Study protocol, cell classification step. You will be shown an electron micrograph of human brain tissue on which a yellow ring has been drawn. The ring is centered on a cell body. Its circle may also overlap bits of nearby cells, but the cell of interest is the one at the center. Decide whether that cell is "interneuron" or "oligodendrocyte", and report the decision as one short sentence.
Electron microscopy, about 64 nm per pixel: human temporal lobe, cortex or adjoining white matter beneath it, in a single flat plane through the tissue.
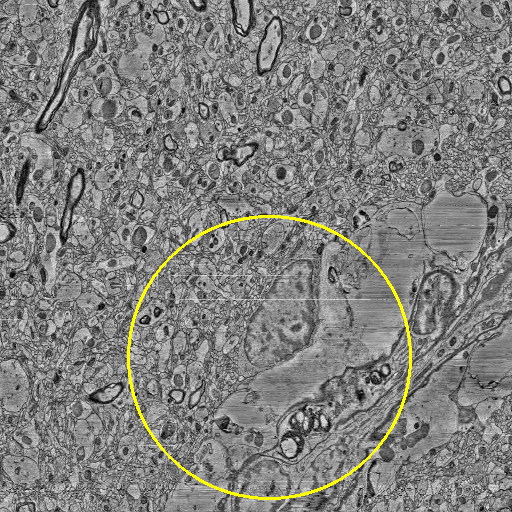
The marked cell is an oligodendrocyte.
